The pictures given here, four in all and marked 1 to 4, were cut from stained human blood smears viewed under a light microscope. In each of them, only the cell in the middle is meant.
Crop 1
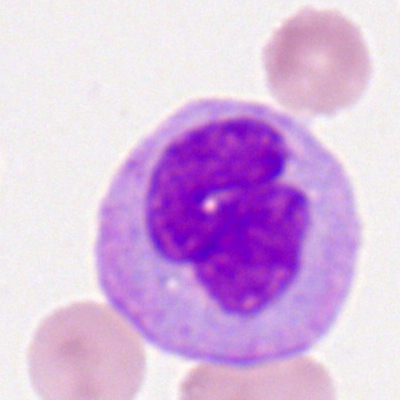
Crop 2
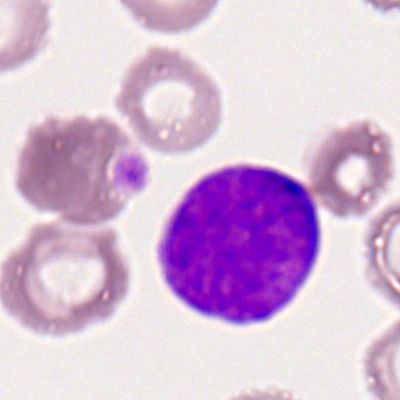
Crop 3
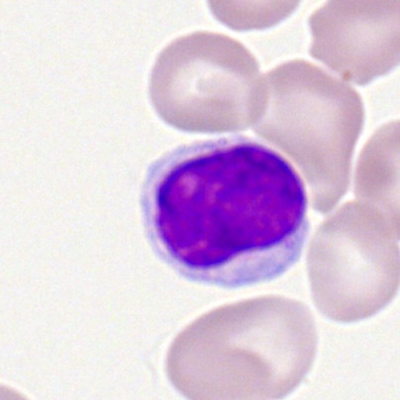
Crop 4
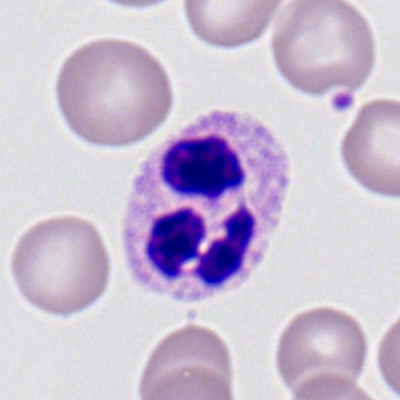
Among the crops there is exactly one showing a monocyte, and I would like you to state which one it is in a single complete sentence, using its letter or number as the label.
The crop bearing a monocyte is crop 1.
